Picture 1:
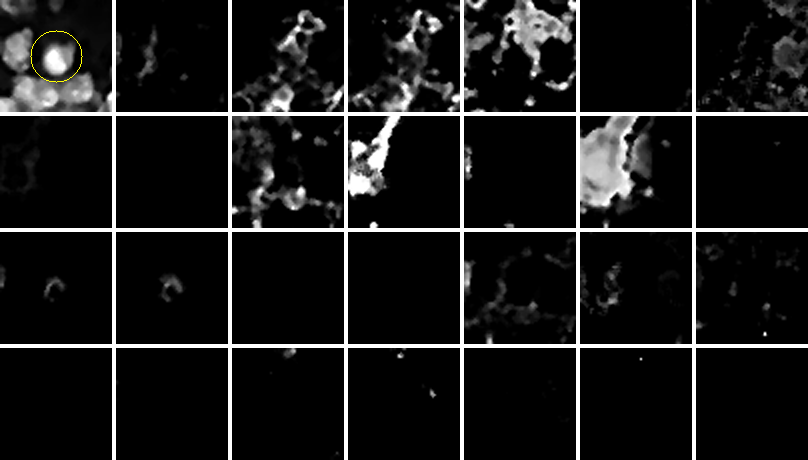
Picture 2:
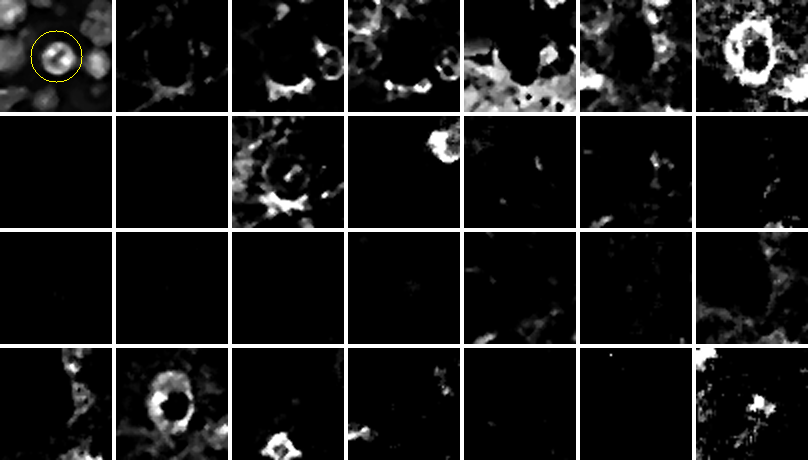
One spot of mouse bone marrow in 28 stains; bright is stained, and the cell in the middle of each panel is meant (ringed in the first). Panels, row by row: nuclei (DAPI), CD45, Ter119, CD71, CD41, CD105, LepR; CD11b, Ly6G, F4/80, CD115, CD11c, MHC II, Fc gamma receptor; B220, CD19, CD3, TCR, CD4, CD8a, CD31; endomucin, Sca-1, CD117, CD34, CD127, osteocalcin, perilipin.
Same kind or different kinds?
Different: the first is an erythroblast, the second a LepR-positive perivascular cell.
